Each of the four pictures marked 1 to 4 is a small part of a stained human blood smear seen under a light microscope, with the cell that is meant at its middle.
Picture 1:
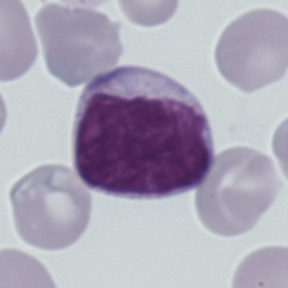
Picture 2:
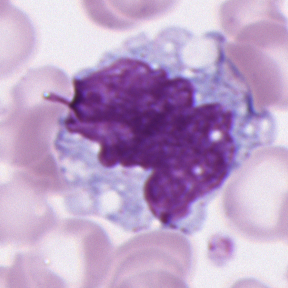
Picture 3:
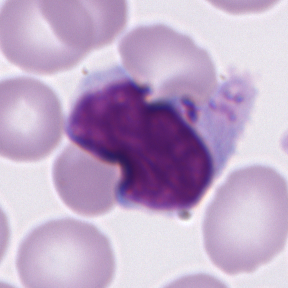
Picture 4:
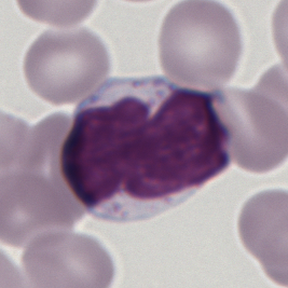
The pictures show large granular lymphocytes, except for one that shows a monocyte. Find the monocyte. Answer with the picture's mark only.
2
